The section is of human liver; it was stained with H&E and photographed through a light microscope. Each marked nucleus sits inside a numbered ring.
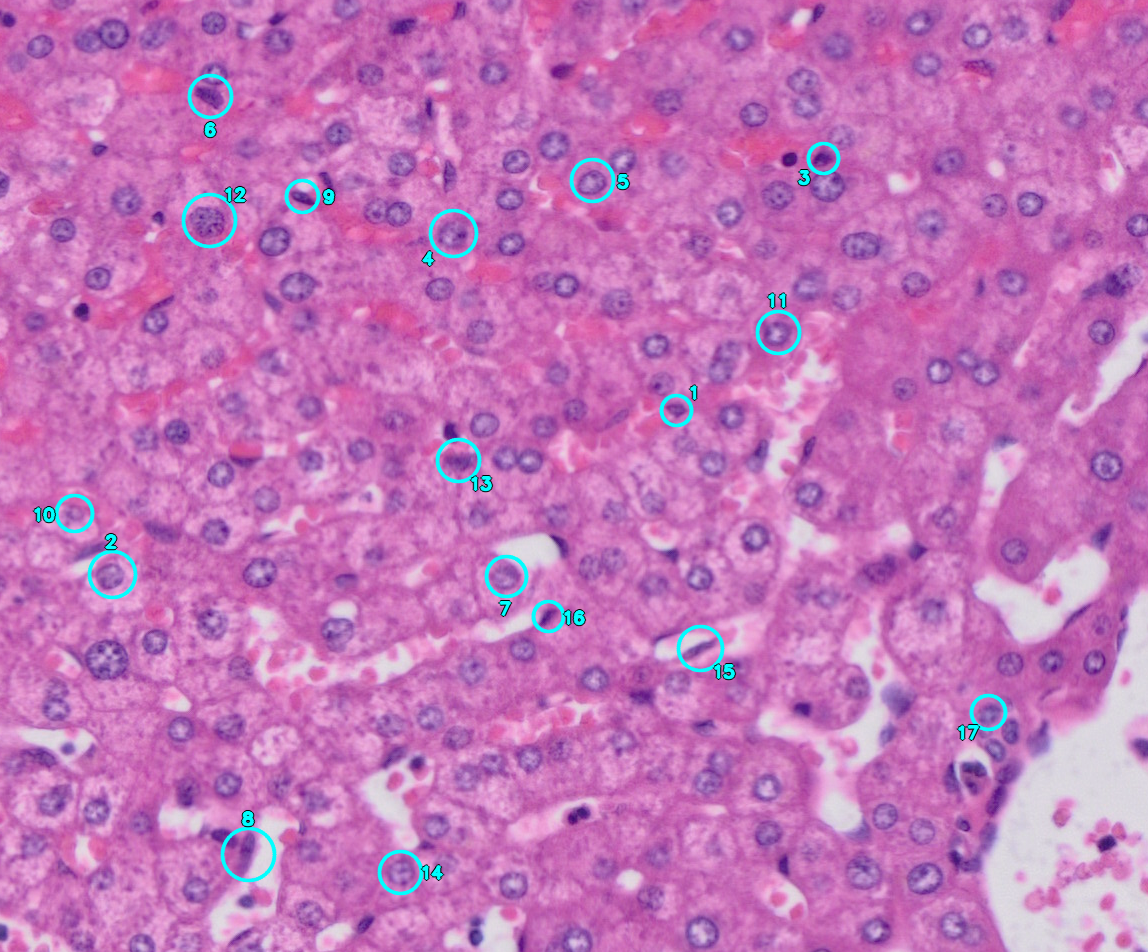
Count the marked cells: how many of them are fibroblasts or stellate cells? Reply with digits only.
5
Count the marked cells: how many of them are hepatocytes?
8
